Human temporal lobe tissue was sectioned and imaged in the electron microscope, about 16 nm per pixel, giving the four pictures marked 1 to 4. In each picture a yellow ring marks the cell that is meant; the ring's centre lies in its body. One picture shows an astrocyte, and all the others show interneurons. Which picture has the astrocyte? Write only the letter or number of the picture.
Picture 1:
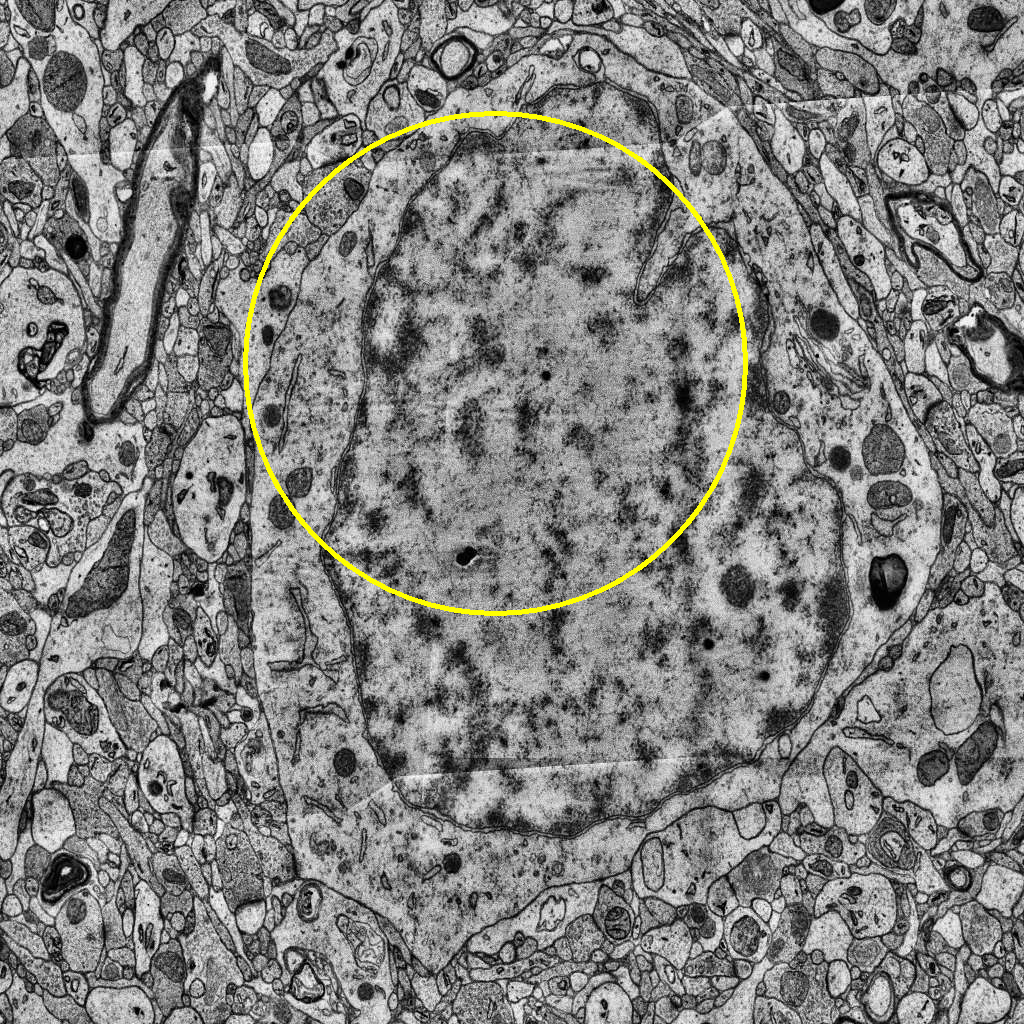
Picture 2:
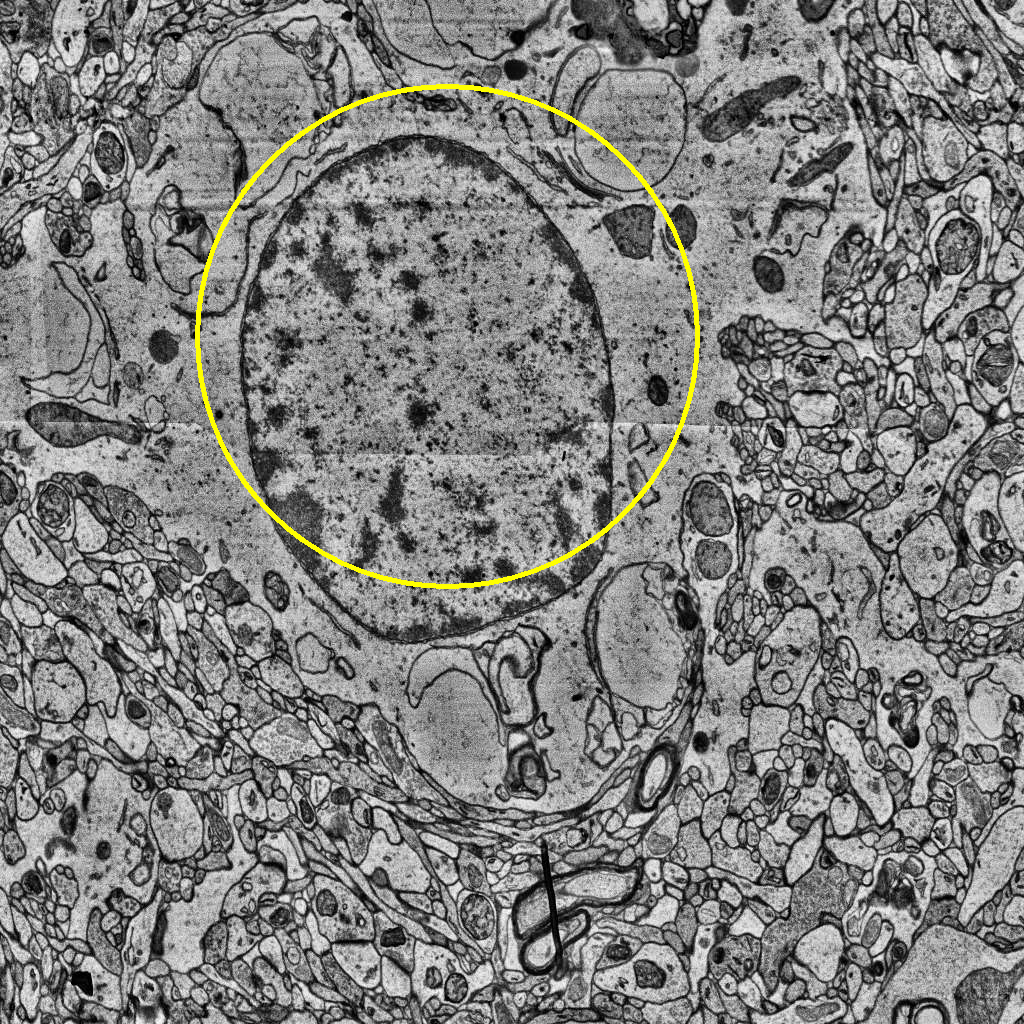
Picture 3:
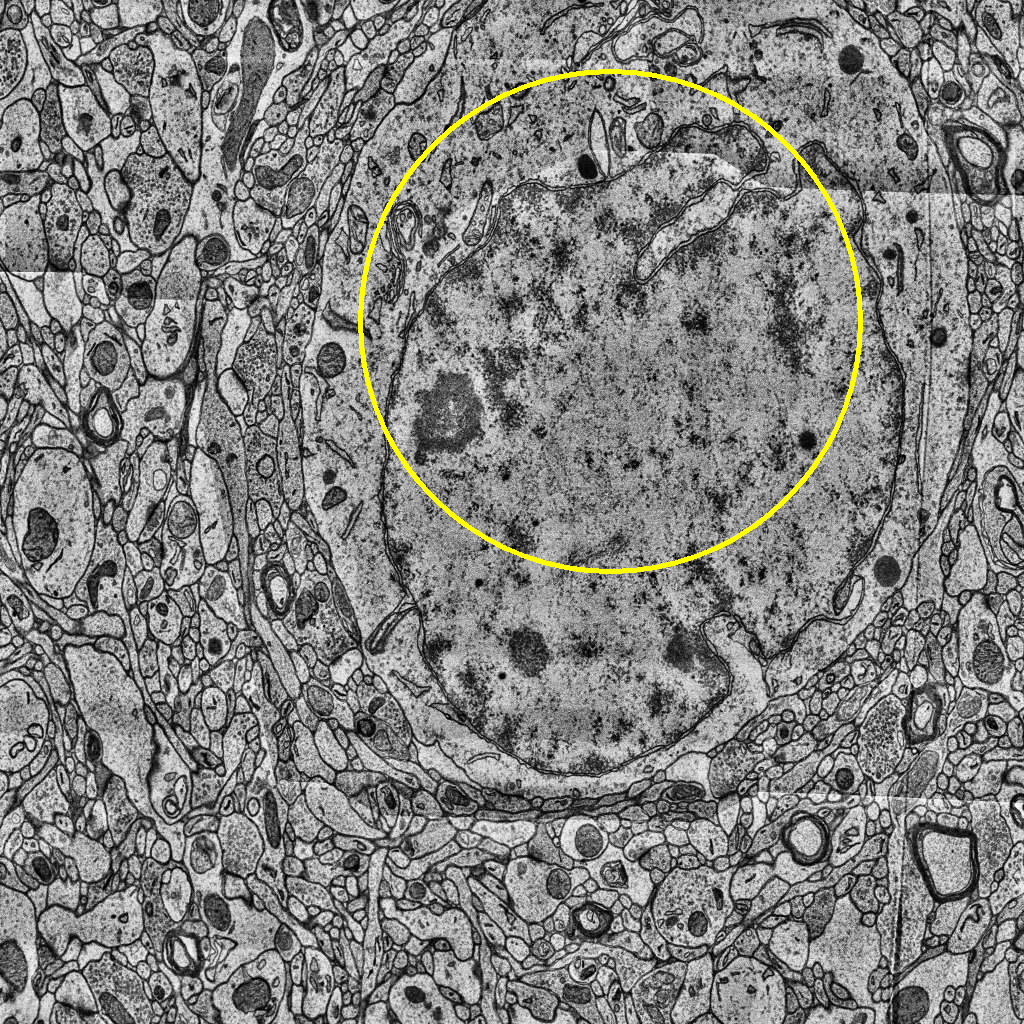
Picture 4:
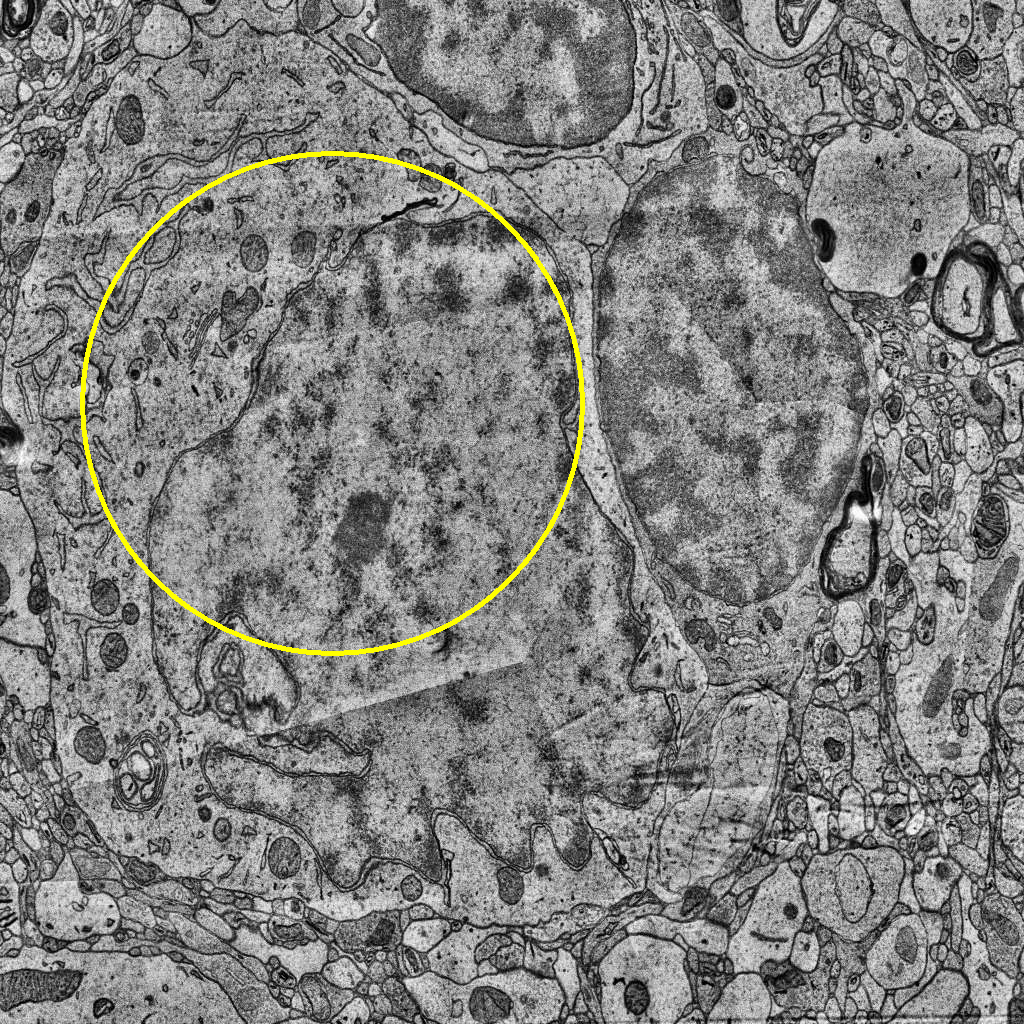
2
